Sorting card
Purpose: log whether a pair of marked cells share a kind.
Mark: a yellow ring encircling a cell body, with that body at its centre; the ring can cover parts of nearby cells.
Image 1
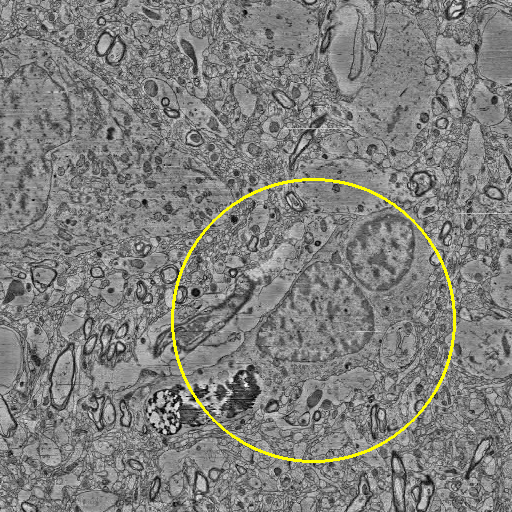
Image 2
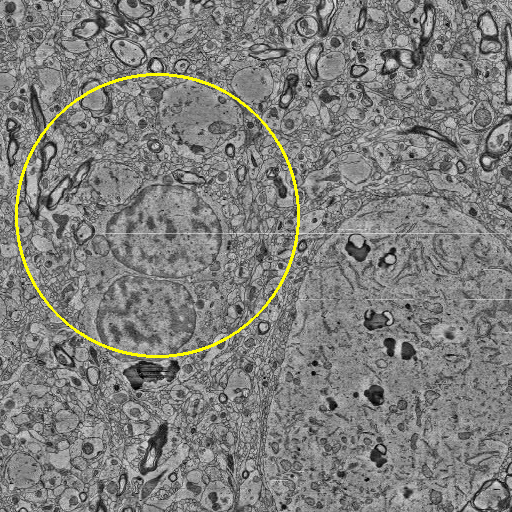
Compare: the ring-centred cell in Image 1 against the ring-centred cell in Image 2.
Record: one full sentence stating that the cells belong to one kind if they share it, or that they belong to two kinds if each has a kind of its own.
Across Images 1 and 2, the two ring-centred cells belong to one kind.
